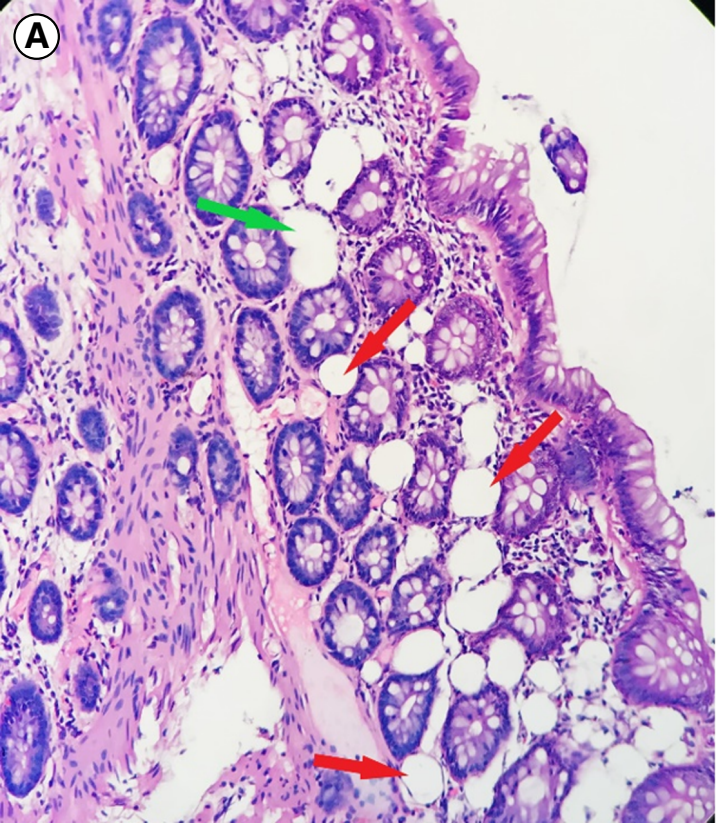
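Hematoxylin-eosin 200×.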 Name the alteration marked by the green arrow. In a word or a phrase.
Confluent.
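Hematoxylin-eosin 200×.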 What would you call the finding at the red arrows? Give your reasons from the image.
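The red arrows point to round clear spaces with no stained content. The clear spaces vary in size. They lie in the tissue between the round glandular cross-sections. That points to this answer: optically empty vacuoles.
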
